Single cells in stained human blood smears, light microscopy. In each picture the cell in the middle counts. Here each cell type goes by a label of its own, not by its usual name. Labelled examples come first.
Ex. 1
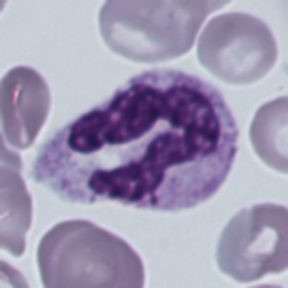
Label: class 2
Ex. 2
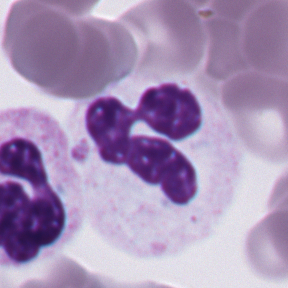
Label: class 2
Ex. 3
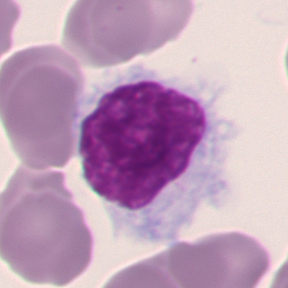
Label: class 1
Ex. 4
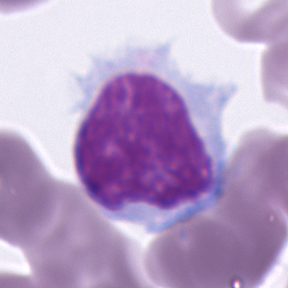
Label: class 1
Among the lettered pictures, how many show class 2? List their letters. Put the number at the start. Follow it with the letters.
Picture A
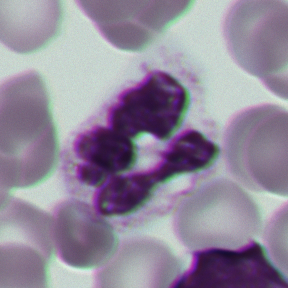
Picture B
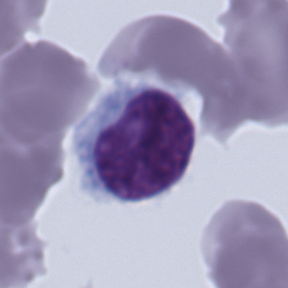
1, namely A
